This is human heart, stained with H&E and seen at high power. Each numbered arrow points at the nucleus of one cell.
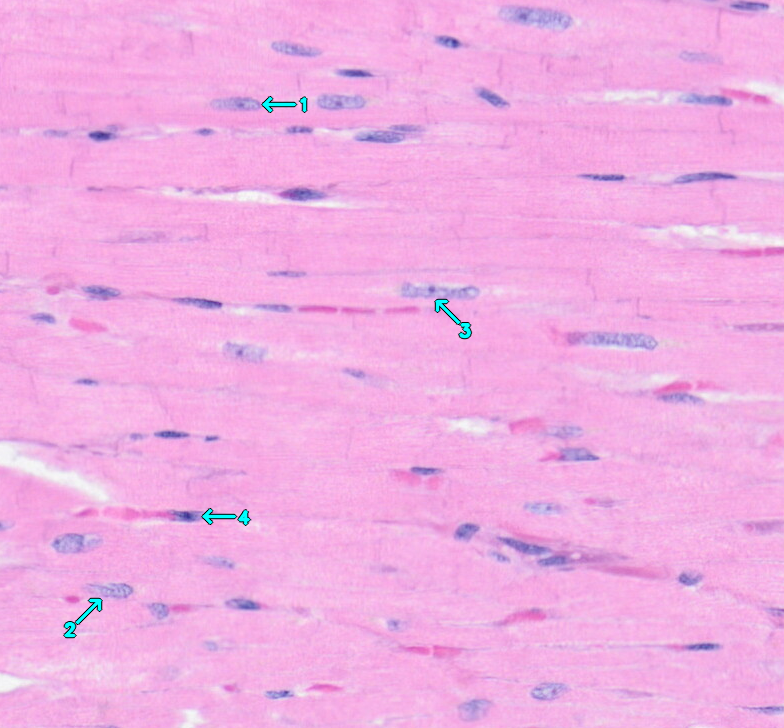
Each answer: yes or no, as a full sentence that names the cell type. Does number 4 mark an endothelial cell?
Yes, the cell carrying number 4 is an endothelial cell.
